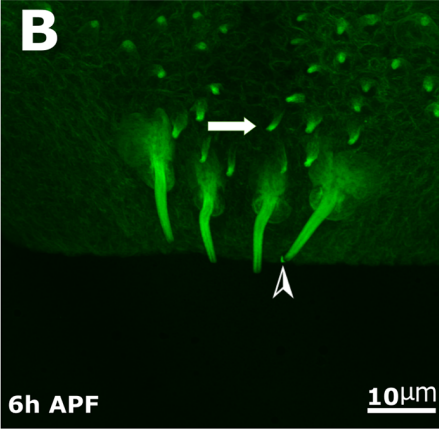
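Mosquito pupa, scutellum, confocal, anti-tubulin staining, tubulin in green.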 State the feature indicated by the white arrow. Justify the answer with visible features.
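The arrow points among many small, short green buds. These buds are far smaller and more numerous than the long projections below. The answer: scales.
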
